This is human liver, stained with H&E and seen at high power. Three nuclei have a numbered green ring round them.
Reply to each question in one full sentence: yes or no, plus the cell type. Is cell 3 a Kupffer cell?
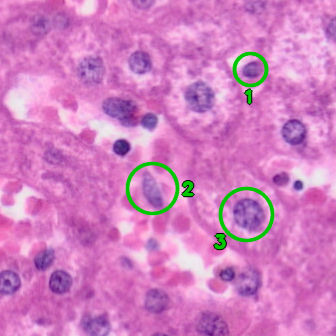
No, cell number 3 is identified as a hepatocyte, not as a Kupffer cell.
